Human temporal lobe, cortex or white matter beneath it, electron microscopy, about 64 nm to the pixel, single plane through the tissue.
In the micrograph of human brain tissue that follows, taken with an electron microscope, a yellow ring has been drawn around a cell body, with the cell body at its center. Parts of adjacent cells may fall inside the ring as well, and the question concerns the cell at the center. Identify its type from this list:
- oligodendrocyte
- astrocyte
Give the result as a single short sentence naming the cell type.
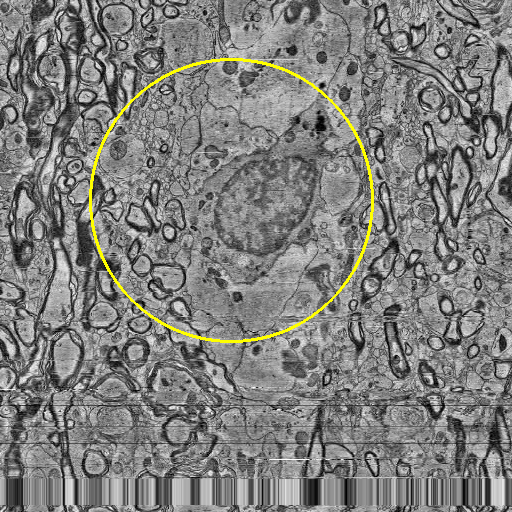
The ring is centered on an oligodendrocyte.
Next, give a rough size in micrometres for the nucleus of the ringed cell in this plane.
The nucleus measures about 7 by 5 micrometres in this plane.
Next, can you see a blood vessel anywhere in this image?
Yes, a vessel appears in the picture.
